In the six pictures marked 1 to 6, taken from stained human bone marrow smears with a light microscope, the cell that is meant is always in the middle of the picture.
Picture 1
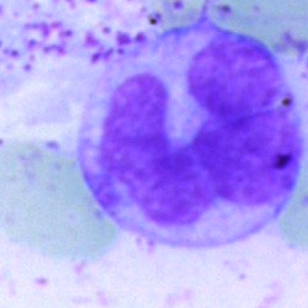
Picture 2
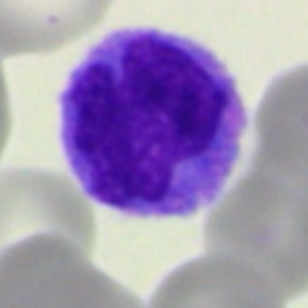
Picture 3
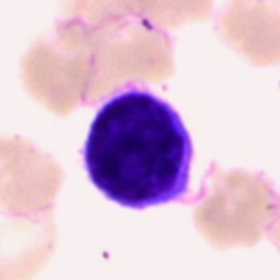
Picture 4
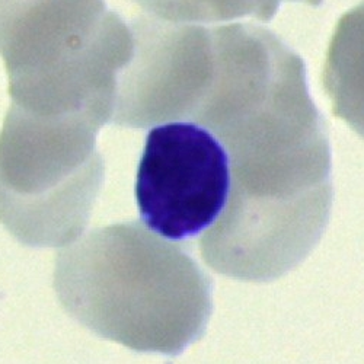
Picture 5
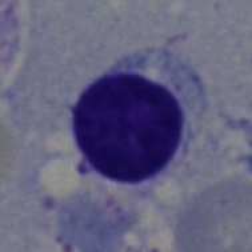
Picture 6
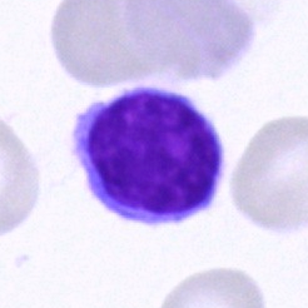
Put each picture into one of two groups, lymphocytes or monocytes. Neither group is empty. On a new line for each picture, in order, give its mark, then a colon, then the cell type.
1: monocyte
2: monocyte
3: lymphocyte
4: lymphocyte
5: lymphocyte
6: lymphocyte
